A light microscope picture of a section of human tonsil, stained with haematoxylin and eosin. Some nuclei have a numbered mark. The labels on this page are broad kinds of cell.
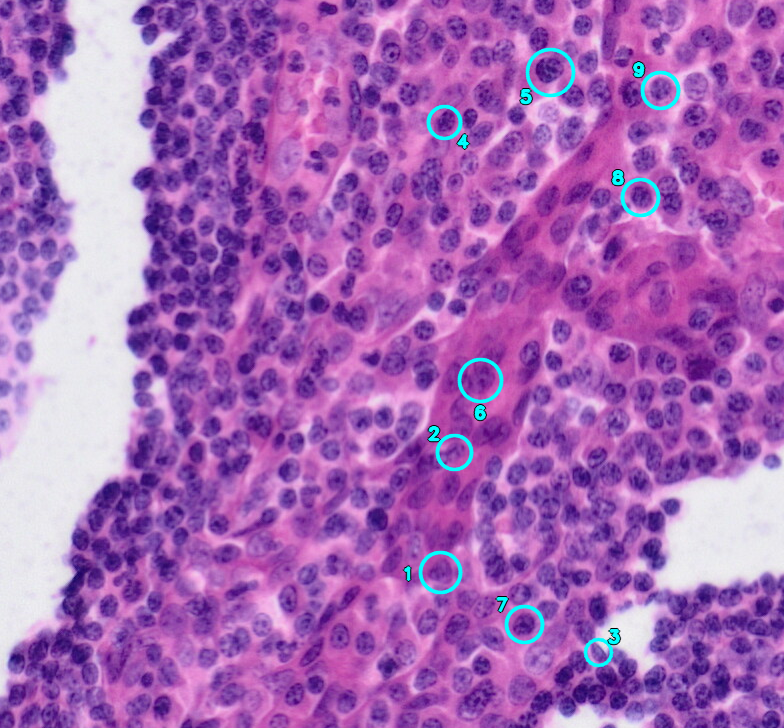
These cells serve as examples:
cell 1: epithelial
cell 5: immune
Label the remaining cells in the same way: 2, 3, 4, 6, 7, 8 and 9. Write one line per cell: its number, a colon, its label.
2: epithelial
3: immune
4: immune
6: epithelial
7: immune
8: immune
9: immune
